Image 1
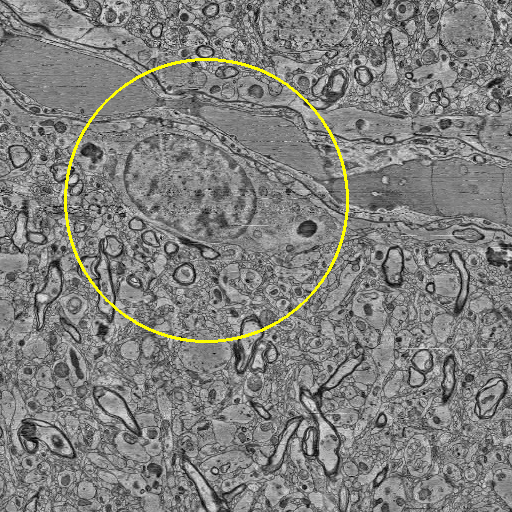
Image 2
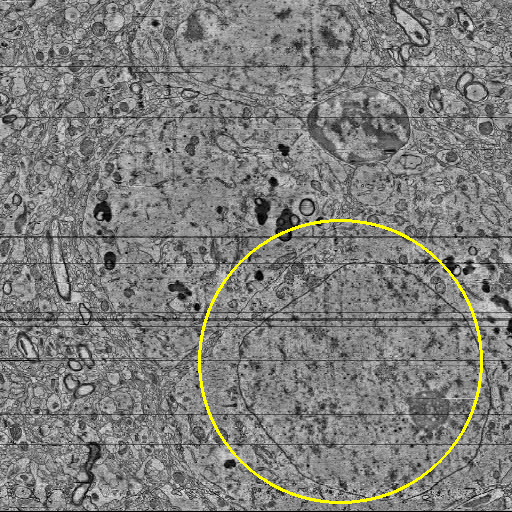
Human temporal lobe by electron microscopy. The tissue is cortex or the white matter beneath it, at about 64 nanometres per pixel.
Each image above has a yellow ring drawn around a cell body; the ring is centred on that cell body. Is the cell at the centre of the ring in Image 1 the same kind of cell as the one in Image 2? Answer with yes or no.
no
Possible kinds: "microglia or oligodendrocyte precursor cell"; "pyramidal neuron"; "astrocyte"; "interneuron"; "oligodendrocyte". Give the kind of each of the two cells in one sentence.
The cell in the second picture is a pyramidal neuron, and that in the first is an oligodendrocyte.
